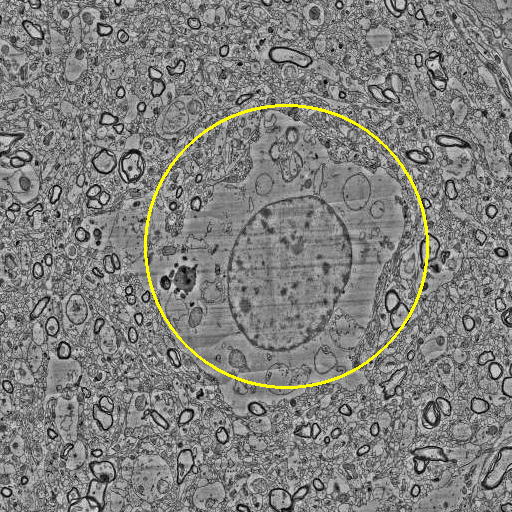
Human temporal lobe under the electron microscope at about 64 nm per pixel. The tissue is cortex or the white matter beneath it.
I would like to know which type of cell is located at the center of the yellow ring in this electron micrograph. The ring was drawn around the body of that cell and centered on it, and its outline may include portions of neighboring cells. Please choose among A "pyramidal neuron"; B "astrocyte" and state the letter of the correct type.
B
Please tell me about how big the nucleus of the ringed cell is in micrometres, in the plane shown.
The nucleus has a long axis of about 10 micrometres and a short axis of about 8 micrometres in this plane.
